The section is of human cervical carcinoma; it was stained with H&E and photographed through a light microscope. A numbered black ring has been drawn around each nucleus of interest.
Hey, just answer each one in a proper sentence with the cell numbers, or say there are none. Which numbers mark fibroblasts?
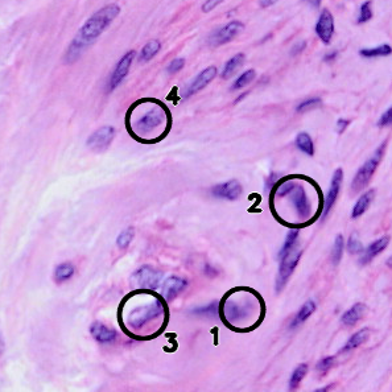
Marked by the numbers 1 and 2 are cells that are fibroblasts.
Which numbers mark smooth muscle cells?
Of all the numbered cells, only cell 4 is a smooth muscle cell.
